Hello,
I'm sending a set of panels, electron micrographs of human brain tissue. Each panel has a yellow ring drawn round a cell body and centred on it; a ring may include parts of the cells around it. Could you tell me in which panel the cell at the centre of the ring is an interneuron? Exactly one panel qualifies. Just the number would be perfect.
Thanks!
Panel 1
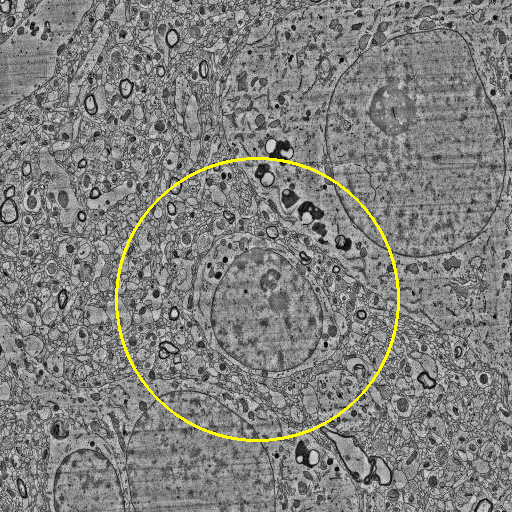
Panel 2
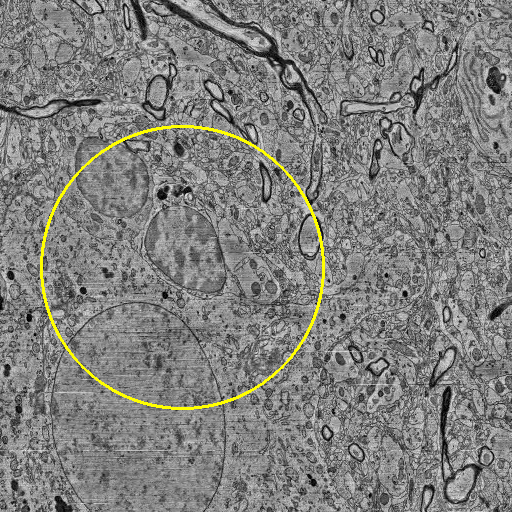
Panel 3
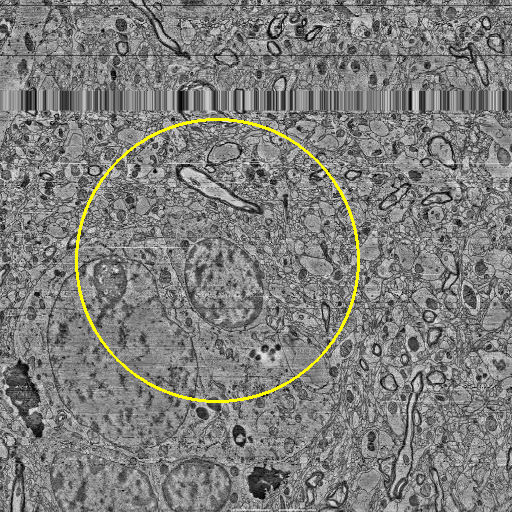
1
